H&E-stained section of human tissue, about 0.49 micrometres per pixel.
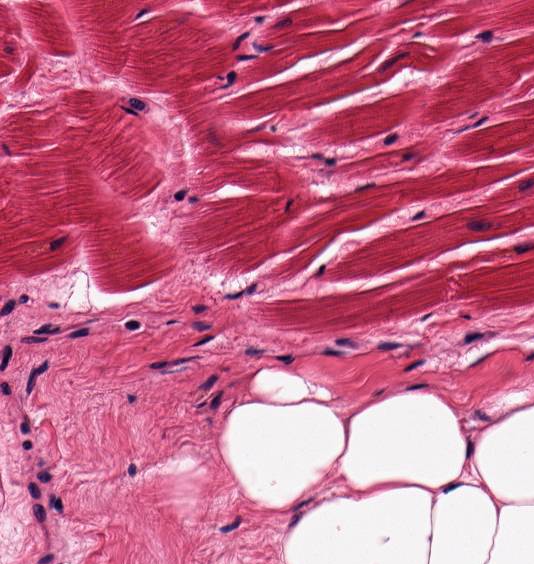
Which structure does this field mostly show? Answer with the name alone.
myocardium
